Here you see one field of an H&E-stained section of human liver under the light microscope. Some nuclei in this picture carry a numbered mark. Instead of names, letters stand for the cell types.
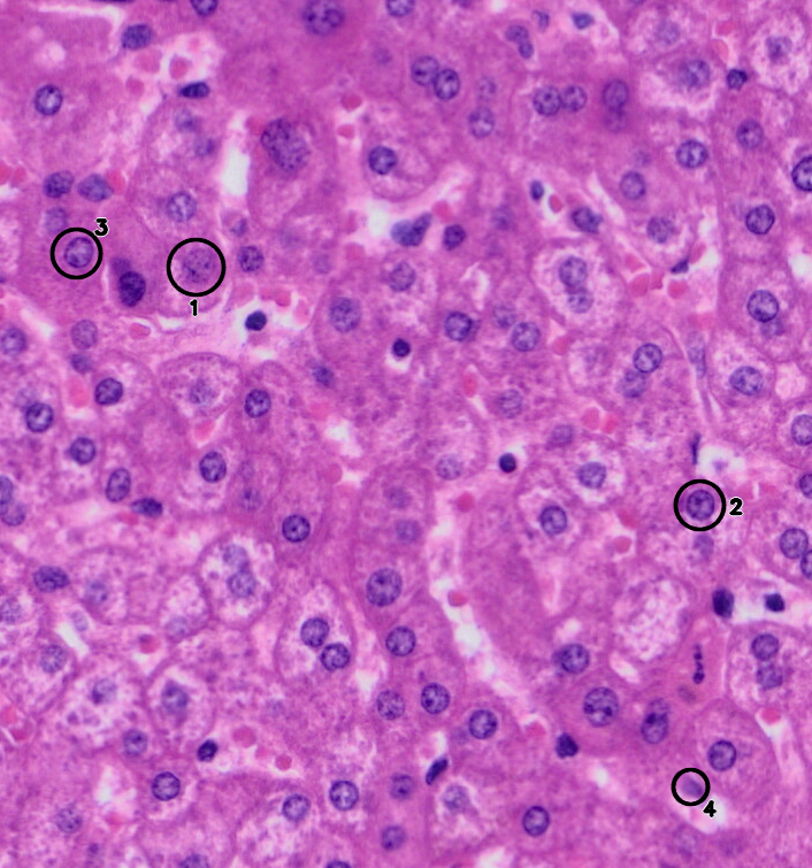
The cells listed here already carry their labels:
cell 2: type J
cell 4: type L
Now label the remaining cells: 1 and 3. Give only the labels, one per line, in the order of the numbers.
type J
type J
